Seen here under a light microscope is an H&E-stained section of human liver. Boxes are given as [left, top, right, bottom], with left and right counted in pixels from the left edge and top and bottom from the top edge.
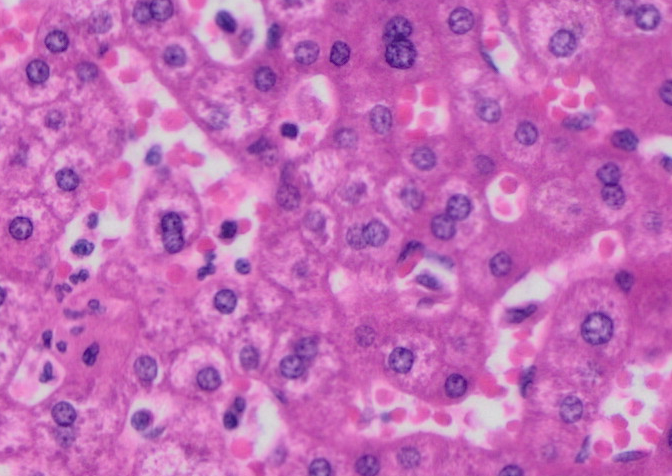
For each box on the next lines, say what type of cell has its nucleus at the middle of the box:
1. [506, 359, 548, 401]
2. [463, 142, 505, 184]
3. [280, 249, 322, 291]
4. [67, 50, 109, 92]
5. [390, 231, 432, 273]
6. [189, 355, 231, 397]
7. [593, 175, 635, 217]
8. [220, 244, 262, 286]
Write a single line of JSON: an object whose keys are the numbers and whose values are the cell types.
{"1": "endothelial cell", "2": "hepatocyte", "3": "hepatocyte", "4": "hepatocyte", "5": "fibroblast or stellate cell", "6": "hepatocyte", "7": "hepatocyte", "8": "lymphocyte"}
